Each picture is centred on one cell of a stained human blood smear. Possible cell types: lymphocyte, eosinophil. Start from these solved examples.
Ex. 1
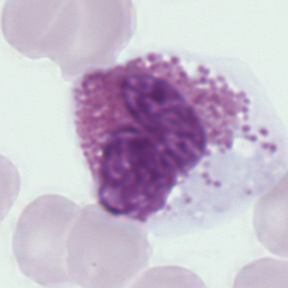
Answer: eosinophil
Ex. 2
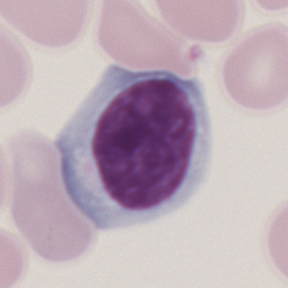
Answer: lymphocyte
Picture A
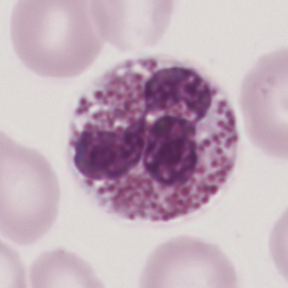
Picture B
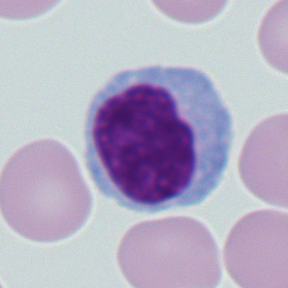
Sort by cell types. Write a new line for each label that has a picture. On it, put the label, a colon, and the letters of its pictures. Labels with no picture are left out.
lymphocyte: B
eosinophil: A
